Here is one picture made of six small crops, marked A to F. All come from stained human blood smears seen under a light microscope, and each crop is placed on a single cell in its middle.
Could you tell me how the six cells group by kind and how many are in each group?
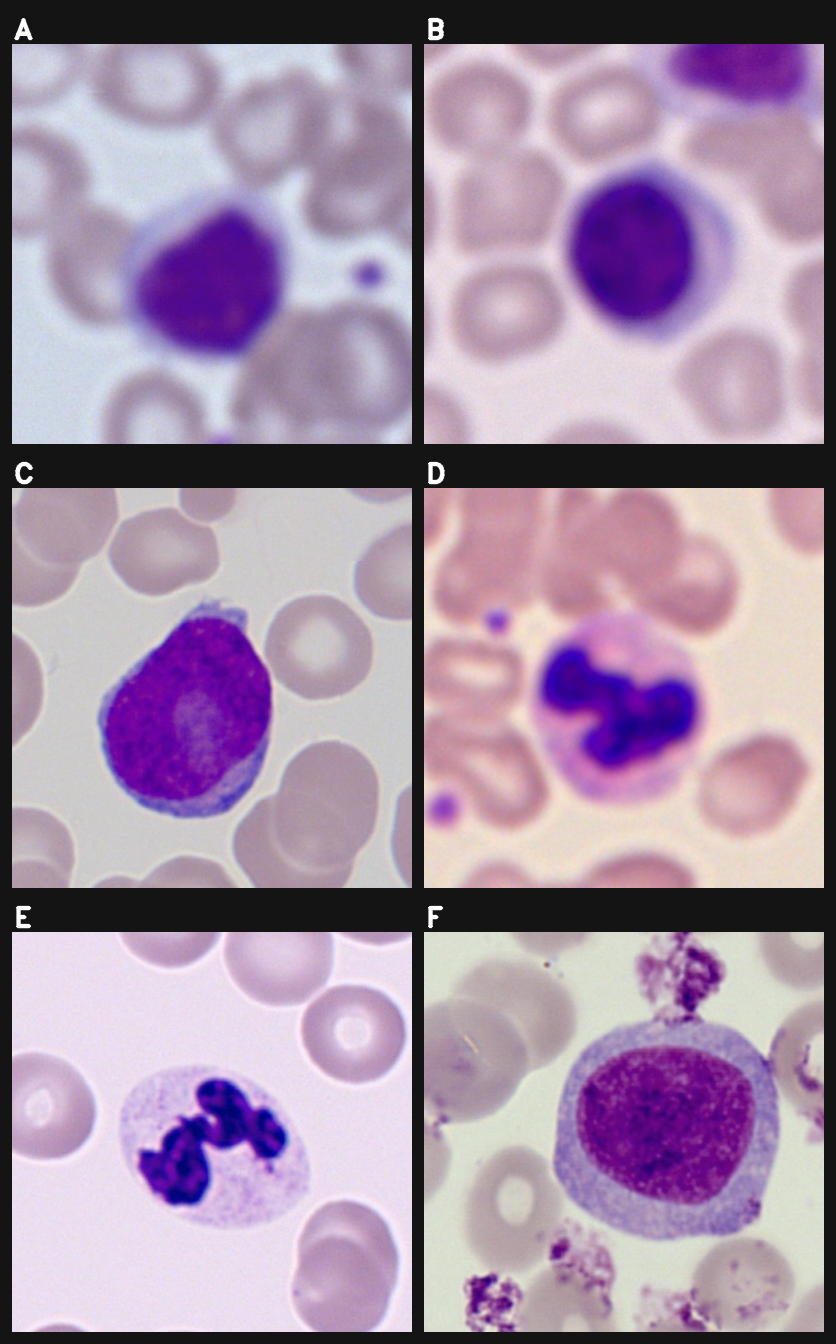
lymphocyte: 2
blast: 2
neutrophil: 2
